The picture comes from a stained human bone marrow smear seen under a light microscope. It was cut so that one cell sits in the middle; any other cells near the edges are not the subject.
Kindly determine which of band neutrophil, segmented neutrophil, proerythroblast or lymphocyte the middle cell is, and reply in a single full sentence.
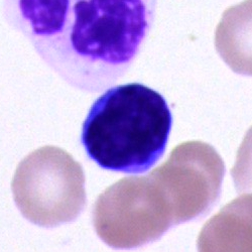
The middle position in this crop is taken by a lymphocyte.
